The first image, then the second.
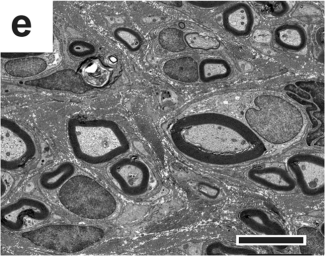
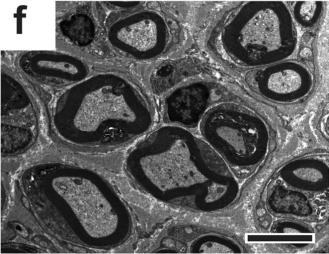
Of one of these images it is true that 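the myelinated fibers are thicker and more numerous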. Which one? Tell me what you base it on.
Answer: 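First image: mostly small fibers with thin black rings, widely spaced in grey tissue. Second image: many fibers with thick black rings, several of them large. The answer: the second image.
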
